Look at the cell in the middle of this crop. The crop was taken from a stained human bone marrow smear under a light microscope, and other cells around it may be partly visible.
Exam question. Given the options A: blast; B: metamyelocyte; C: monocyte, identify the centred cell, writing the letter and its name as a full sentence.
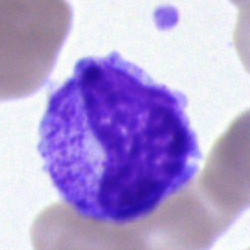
The cell shown centrally is a metamyelocyte; option B is the correct option.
